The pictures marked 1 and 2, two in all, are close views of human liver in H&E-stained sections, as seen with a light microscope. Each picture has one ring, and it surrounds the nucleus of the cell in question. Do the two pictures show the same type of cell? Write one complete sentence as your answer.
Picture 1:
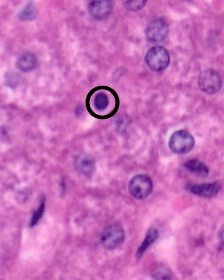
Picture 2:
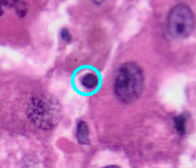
Yes; the cells in both pictures are lymphocytes.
